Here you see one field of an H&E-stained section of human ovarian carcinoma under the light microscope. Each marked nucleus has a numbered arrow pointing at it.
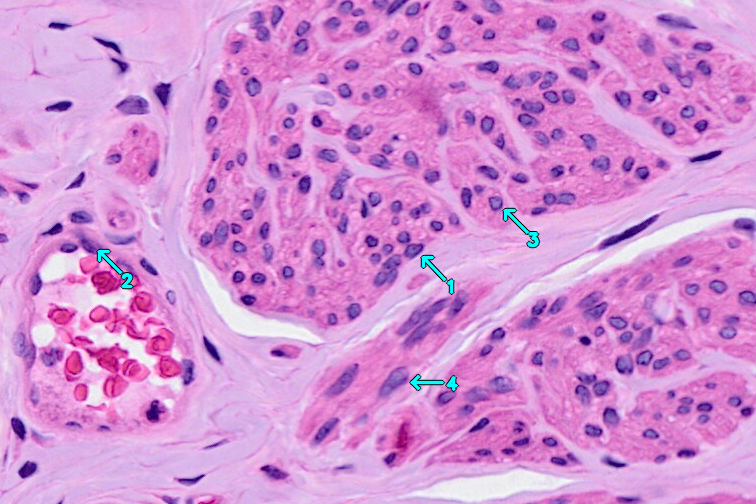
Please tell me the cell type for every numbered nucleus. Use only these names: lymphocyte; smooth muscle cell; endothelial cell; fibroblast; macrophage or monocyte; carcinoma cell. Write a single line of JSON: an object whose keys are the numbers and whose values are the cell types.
{"1": "smooth muscle cell", "2": "endothelial cell", "3": "smooth muscle cell", "4": "smooth muscle cell"}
